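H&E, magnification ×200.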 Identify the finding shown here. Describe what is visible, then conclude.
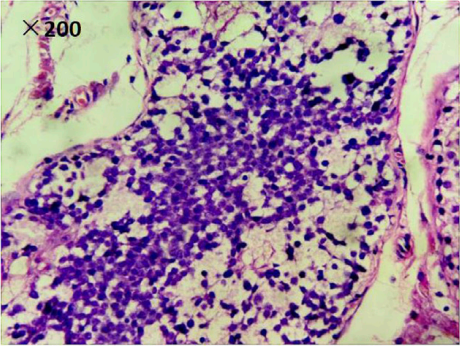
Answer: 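Sheets of round tumor cells with dark round nuclei. Tumor cells vary in size within the nest. Loose, pale, edematous background between the cells. Thin fibrous septa with small vessels border the nest. The answer: spermatocitic tumor.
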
